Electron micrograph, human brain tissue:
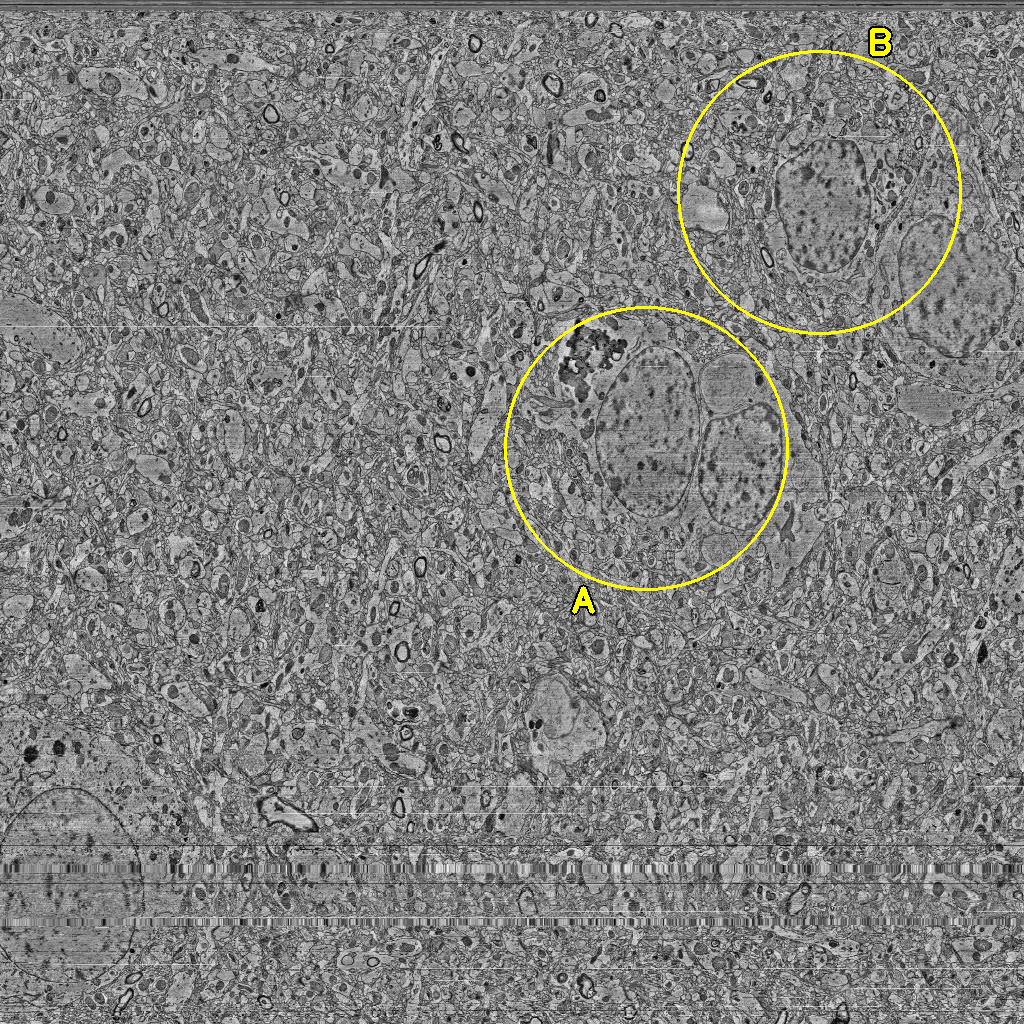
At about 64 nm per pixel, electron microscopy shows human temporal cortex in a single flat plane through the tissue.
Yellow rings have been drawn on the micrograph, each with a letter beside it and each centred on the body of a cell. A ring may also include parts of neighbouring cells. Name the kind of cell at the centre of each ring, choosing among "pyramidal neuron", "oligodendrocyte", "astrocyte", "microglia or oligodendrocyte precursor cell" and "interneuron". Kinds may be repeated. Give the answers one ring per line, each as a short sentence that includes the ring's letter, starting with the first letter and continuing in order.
Ring A is placed on an astrocyte.
Ring B is placed on an astrocyte.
